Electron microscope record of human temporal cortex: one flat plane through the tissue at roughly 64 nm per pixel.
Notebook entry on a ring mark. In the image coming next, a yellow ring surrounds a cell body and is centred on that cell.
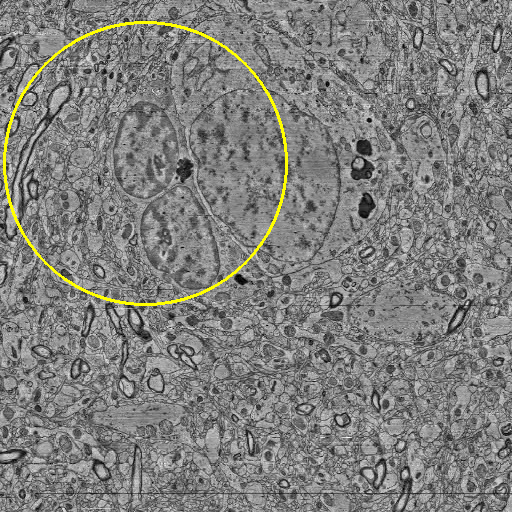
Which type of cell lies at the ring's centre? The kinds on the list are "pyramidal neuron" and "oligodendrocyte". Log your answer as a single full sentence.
Centred in the yellow ring is an oligodendrocyte, the cell recorded for this image.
